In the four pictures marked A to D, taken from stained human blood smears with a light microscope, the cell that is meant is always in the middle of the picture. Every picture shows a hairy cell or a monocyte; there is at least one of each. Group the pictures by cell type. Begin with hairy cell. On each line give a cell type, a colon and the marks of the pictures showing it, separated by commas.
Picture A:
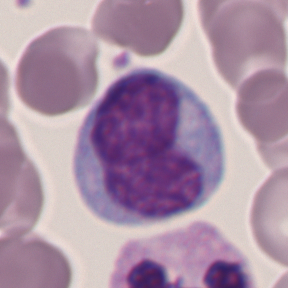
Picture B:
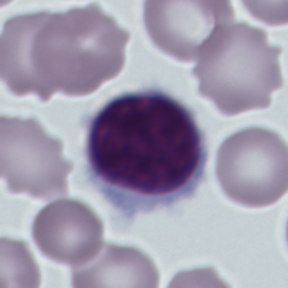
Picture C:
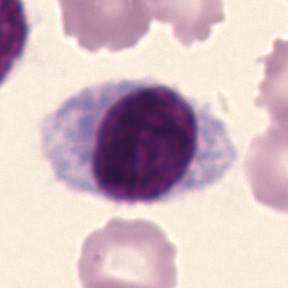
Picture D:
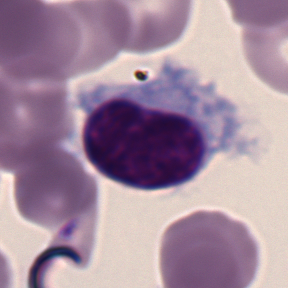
hairy cell: B, C, D
monocyte: A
